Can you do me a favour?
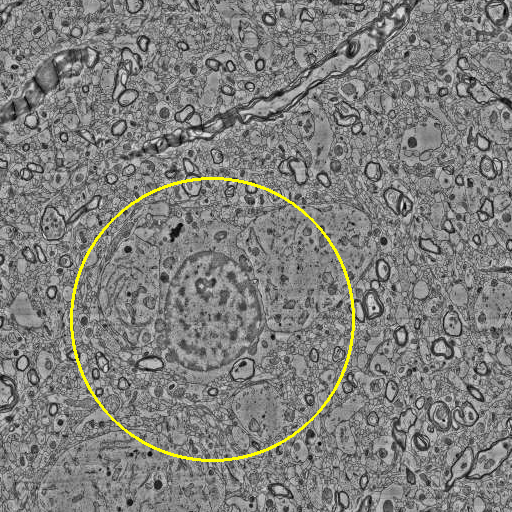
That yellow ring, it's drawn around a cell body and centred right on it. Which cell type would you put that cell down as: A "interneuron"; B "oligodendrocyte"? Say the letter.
B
